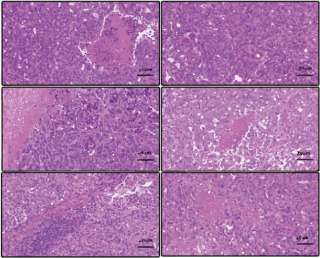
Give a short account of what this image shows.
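Sections of tumour tissue show solid sheets of densely packed cells with dark purple nuclei and scant pink cytoplasm. The cells lie without glandular or layered organization. Some fields contain paler pink, less cellular areas among the crowded cells. Cell density and the extent of the pale areas vary between the fields.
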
